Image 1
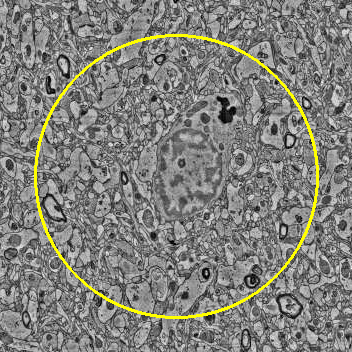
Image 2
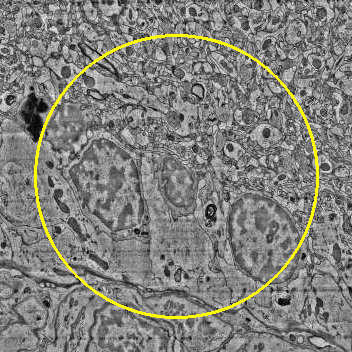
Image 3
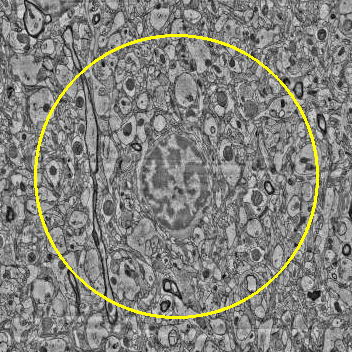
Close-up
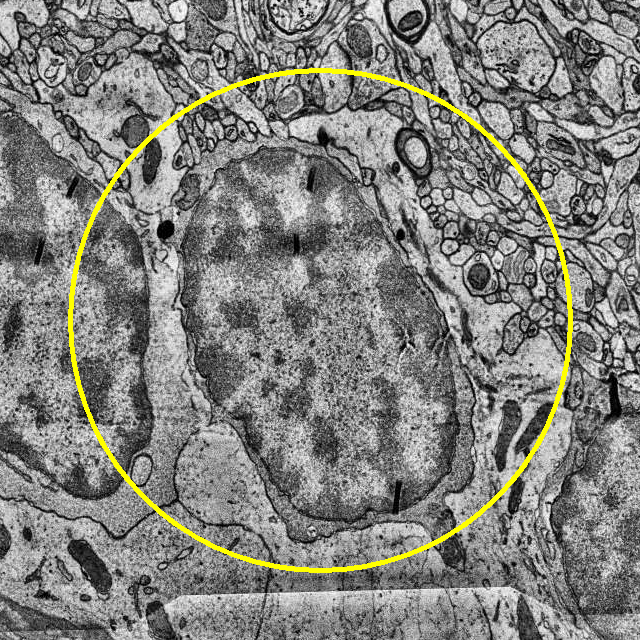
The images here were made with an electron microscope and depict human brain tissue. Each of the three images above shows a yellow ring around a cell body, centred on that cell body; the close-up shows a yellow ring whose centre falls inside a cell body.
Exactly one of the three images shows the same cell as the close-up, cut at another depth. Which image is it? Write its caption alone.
Image 2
